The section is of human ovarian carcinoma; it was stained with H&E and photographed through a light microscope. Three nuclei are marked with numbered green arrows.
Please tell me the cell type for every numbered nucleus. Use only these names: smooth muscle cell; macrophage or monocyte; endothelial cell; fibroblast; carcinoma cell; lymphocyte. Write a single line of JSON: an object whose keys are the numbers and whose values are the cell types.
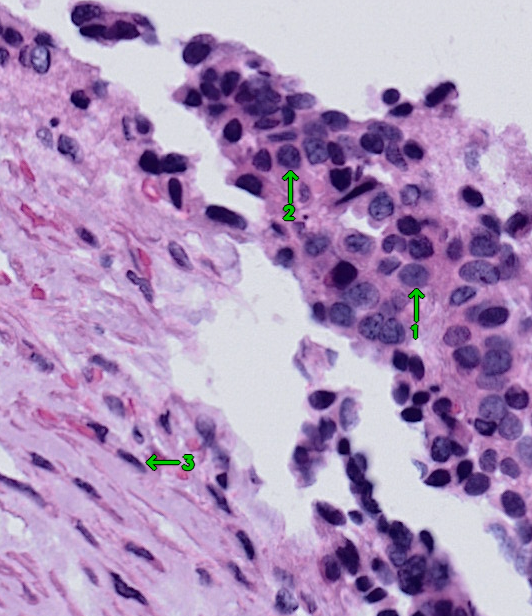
{"1": "carcinoma cell", "2": "carcinoma cell", "3": "fibroblast"}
